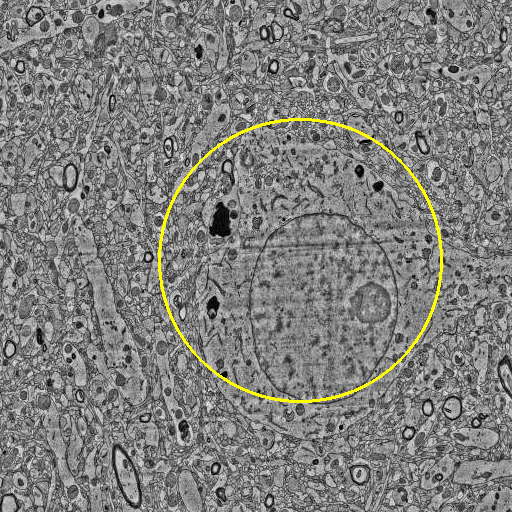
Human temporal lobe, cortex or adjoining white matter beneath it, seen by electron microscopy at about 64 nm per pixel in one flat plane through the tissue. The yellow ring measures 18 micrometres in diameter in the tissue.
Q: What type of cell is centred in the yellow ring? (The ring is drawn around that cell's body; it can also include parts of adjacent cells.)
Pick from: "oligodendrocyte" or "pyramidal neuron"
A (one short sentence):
The yellow ring is centred on a pyramidal neuron.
